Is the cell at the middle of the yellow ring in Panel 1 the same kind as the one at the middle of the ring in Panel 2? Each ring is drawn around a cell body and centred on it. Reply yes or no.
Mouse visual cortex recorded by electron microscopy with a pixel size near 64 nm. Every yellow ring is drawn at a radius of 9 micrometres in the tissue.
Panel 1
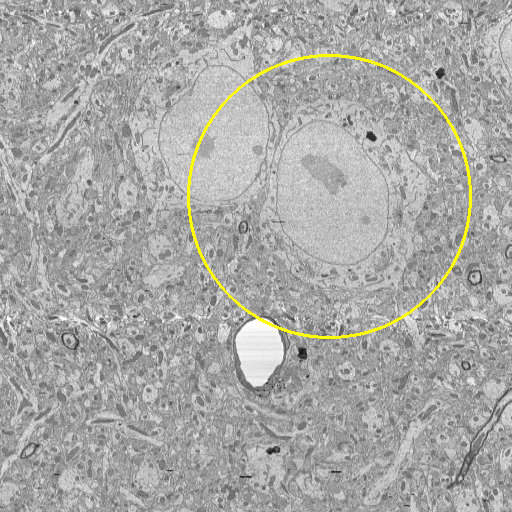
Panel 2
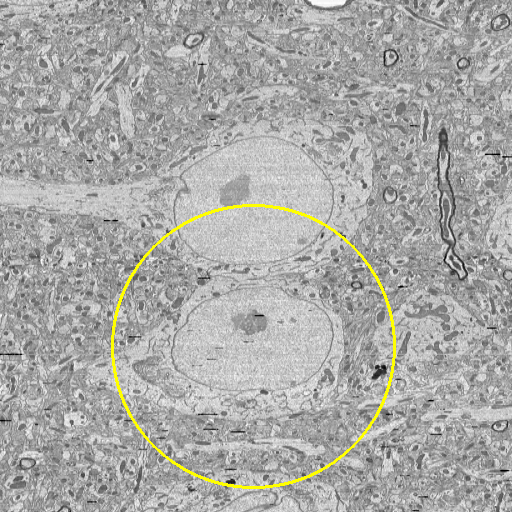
yes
